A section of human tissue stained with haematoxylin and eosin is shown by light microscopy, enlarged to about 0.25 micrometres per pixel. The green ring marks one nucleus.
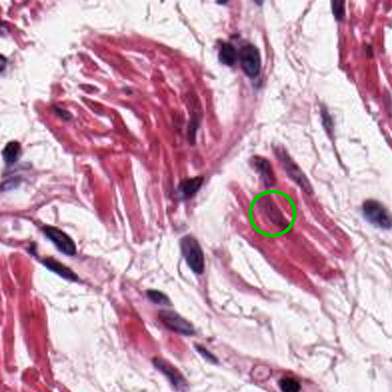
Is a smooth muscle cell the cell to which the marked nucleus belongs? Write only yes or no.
yes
